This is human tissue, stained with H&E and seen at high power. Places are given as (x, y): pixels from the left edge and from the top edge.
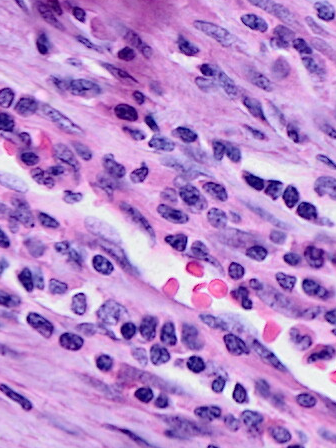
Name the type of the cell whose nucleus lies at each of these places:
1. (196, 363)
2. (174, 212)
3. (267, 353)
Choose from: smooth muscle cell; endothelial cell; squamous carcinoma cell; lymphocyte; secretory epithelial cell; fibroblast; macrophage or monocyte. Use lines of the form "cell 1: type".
cell 1: lymphocyte
cell 2: lymphocyte
cell 3: endothelial cell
